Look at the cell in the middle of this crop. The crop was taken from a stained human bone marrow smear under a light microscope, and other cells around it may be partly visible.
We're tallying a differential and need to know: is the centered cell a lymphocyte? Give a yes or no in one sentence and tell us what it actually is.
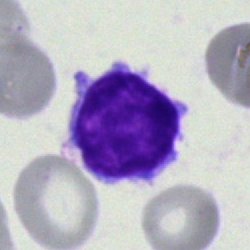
Yes, the cell lying in the middle is a lymphocyte.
